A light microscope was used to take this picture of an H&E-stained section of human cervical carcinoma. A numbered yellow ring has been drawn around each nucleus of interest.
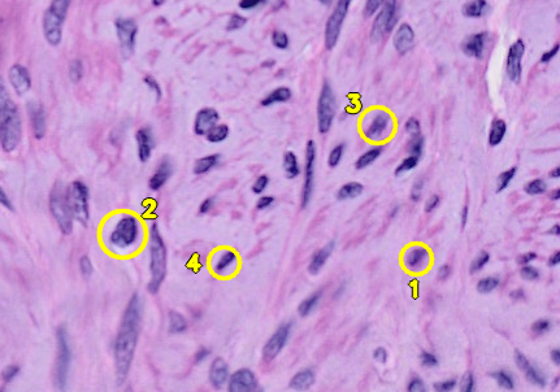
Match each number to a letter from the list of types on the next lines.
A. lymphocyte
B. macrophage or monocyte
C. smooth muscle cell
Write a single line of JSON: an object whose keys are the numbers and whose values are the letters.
{"1": "C", "2": "A", "3": "C", "4": "C"}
